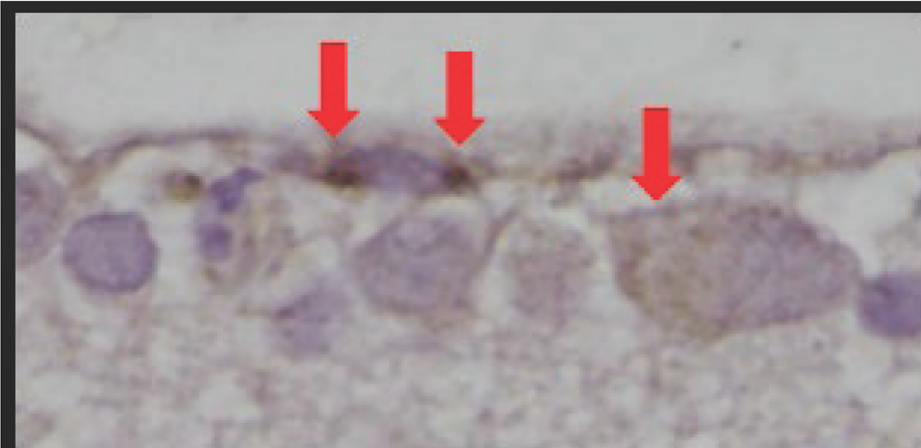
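Along the inner surface of the retina a thin, slightly wavy membrane borders a single row of large, rounded cells with pale purple, finely granular nuclei. Smaller, darker purple nuclei lie between and beside them, and a pale, finely meshed layer lies below the row. Brown deposits are concentrated at the surface edge above some of the cells, with faint brownish tint in the cytoplasm of the larger cell on the right. This single row of large cells at the inner edge is the retinal ganglion cell layer.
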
